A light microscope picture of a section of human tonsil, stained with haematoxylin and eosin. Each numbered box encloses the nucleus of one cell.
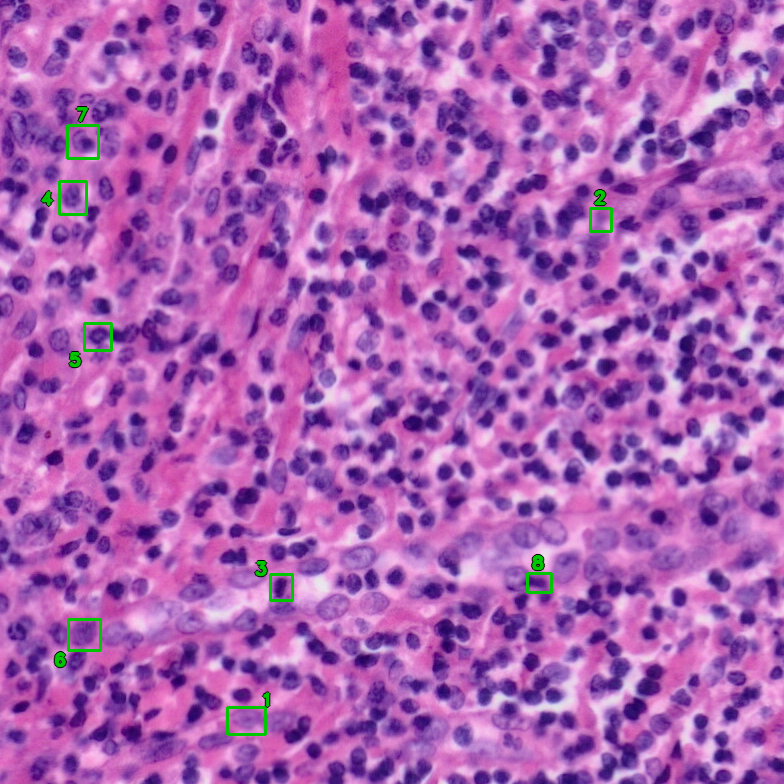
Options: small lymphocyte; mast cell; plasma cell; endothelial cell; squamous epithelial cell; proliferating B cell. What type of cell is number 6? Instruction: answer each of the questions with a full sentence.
In the tissue shown, cell 6 is an endothelial cell.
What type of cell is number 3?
Here the cell numbered 3 is an endothelial cell.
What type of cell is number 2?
Here the cell numbered 2 is an endothelial cell.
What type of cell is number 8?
The marked nucleus 8 is that of an endothelial cell.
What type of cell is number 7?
In this section, the cell numbered 7 is a plasma cell.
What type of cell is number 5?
The cell marked with number 5 is a plasma cell.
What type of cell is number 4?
Of the numbered cells, the one labelled 4 is a plasma cell.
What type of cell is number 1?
The cell tagged with 1 in this tissue section is an endothelial cell.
